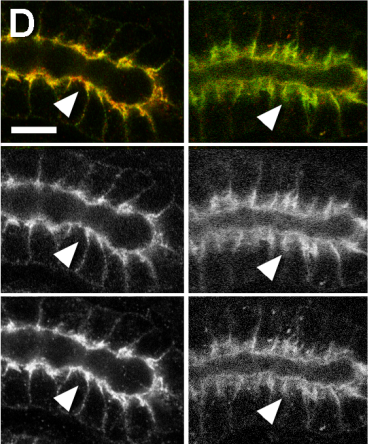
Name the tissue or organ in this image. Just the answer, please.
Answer: Salivary glands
